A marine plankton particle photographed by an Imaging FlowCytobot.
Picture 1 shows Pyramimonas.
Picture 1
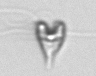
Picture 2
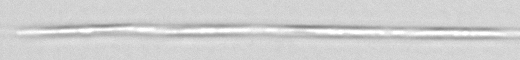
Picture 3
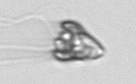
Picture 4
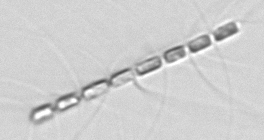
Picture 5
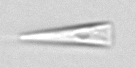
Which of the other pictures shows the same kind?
Picture 3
